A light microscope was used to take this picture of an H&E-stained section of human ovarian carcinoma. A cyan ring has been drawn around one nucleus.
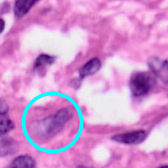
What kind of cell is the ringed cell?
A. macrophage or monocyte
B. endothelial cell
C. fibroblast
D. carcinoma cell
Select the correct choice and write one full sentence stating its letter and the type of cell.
Of all the options, B is right, since the ringed cell is an endothelial cell.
